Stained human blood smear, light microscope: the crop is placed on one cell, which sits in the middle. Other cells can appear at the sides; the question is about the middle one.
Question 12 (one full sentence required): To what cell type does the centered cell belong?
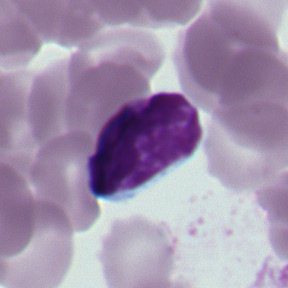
The cell marked by its central position in the crop is a typical lymphocyte.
